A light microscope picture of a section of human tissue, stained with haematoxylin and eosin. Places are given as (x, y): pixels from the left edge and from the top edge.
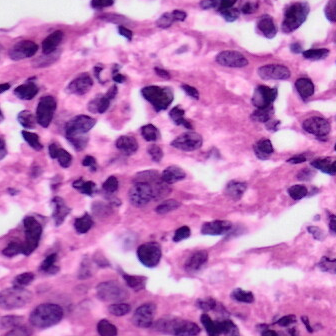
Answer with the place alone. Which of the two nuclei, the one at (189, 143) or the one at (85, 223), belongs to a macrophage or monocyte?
(189, 143)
